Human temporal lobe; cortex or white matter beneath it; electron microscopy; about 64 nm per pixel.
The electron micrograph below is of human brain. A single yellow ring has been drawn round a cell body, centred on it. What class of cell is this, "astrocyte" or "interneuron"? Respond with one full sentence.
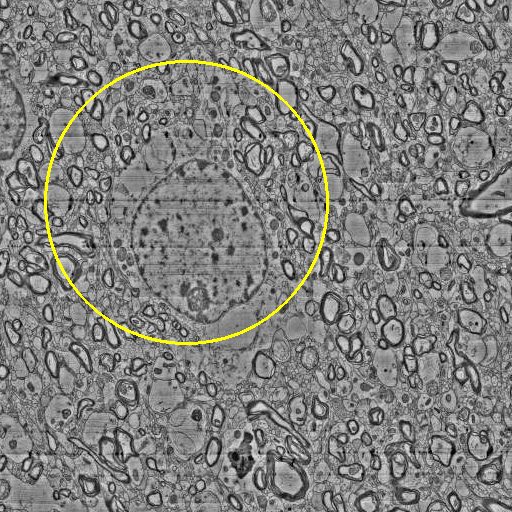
In the micrograph, the cell centred inside the yellow ring is an astrocyte.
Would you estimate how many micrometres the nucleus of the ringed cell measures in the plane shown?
About 10 micrometres by about 9 micrometres in this plane.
